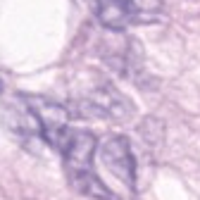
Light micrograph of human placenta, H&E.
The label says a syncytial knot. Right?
Wrong: this is a vascular myocyte.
